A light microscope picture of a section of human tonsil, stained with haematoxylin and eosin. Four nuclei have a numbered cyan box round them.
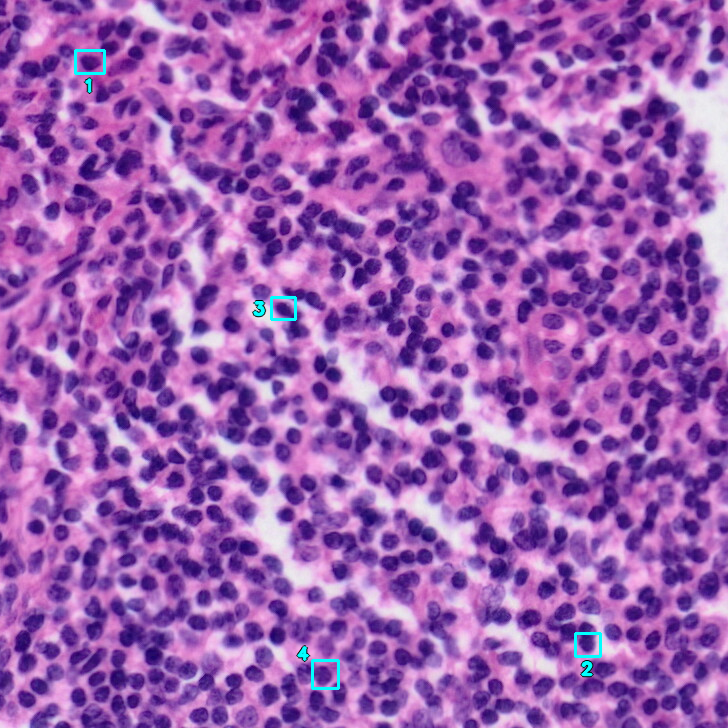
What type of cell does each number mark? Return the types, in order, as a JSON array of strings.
["plasma cell", "small lymphocyte", "small lymphocyte", "small lymphocyte"]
